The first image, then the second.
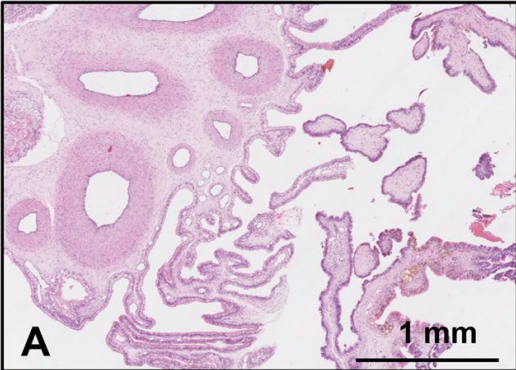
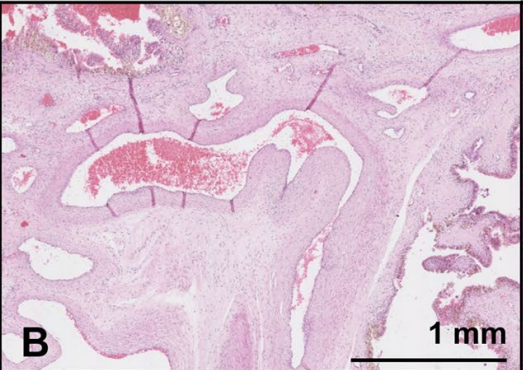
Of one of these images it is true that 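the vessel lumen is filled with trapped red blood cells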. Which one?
the second image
